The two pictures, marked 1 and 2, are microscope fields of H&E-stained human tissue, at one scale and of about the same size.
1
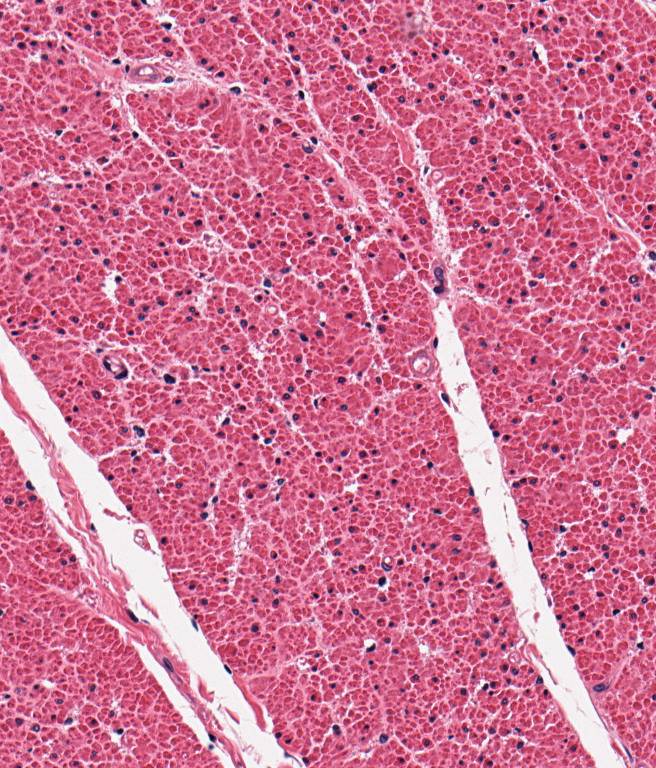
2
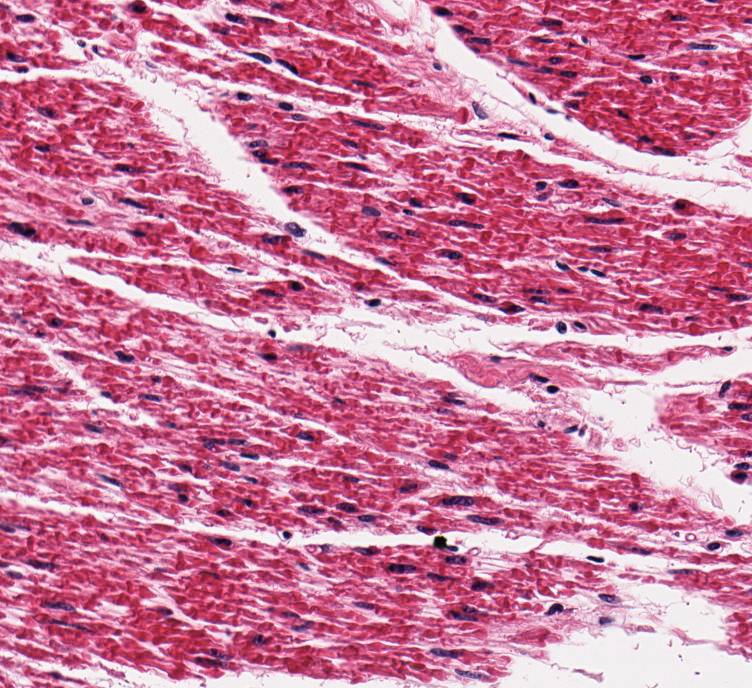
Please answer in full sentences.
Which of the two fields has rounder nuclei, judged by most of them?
Rounder nuclei lie in picture 1.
